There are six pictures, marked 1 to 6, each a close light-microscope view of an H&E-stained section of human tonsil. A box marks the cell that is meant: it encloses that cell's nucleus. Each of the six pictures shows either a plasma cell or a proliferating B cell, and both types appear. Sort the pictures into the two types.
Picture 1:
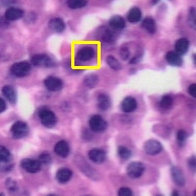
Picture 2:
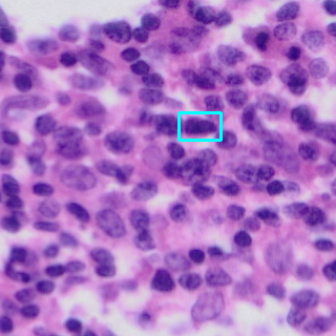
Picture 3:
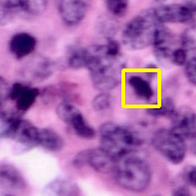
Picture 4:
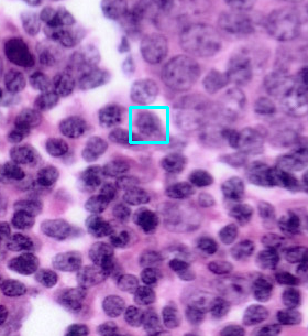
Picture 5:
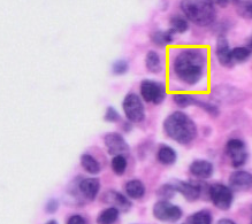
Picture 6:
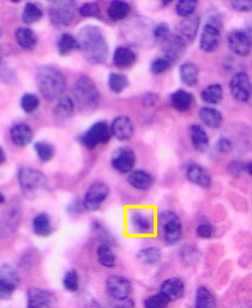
1: plasma cell
2: proliferating B cell
3: proliferating B cell
4: proliferating B cell
5: proliferating B cell
6: plasma cell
